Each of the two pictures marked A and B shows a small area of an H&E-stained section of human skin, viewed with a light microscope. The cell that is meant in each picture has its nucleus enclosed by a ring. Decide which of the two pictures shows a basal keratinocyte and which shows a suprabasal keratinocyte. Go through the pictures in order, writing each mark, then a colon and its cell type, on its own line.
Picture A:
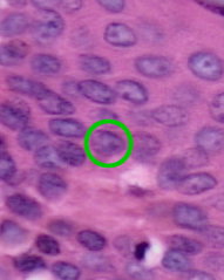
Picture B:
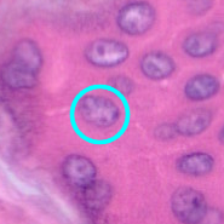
A: basal keratinocyte
B: suprabasal keratinocyte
